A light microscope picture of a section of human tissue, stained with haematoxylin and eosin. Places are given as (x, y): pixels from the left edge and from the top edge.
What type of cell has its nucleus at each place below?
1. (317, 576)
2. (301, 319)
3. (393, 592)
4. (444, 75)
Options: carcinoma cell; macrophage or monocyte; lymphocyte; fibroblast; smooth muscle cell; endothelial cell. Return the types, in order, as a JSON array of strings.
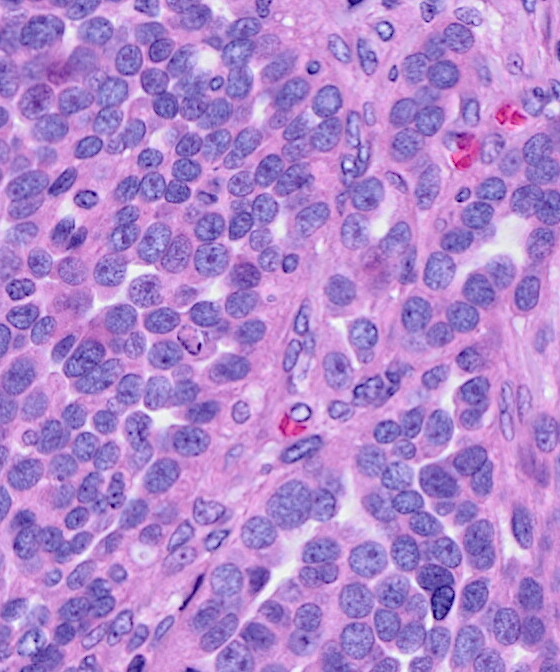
["carcinoma cell", "fibroblast", "carcinoma cell", "carcinoma cell"]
